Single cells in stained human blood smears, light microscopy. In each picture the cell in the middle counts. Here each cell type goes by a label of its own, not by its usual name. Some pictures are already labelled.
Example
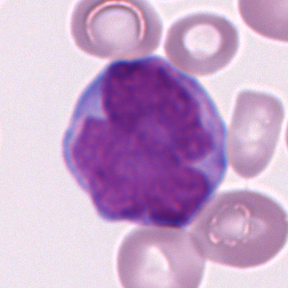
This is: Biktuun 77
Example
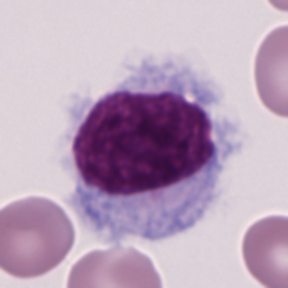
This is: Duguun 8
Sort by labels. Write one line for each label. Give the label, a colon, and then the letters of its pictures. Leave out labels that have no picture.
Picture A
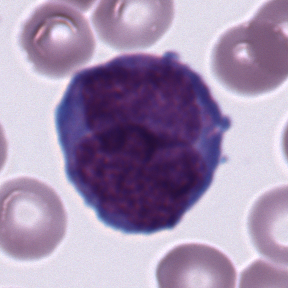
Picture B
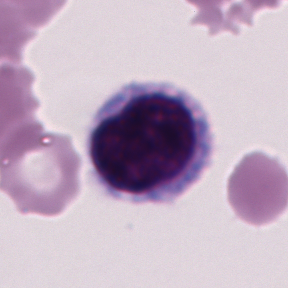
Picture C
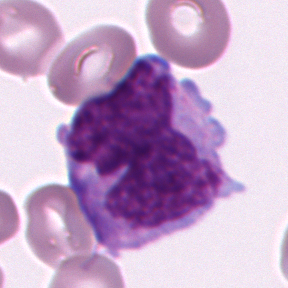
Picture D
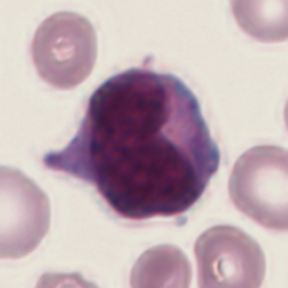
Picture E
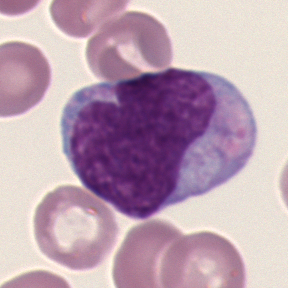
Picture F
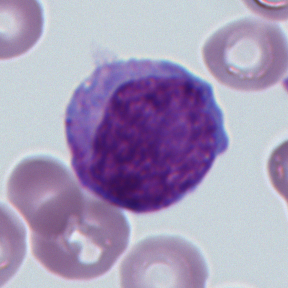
Biktuun 77: A, C, D, E, F
Duguun 8: B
